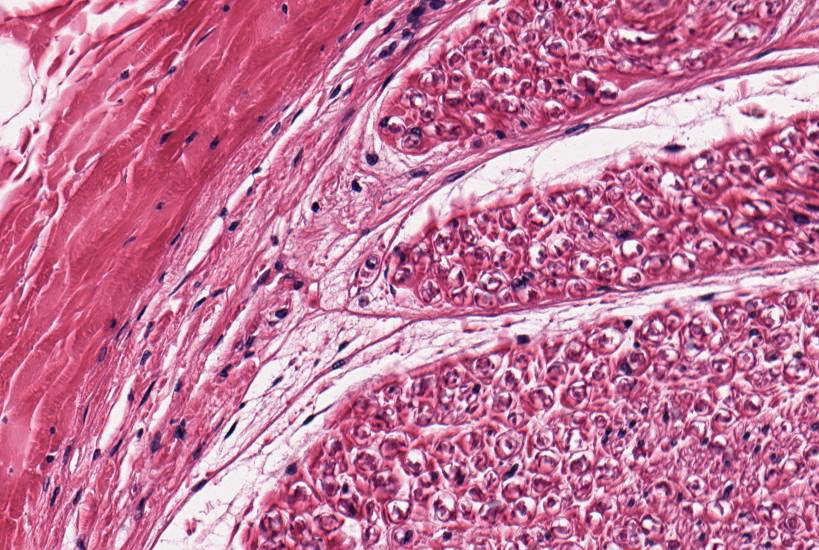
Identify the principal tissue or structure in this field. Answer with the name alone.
nerve fascicle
